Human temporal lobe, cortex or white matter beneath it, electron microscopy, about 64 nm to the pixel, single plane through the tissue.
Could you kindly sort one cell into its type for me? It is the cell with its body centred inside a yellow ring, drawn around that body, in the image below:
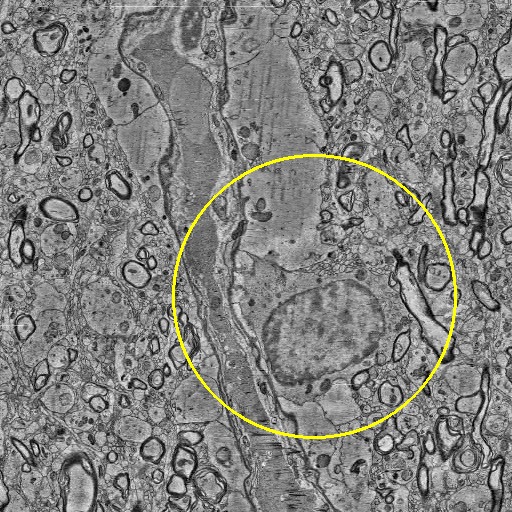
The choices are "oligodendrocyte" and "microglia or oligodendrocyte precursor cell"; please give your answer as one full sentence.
The cell whose body lies centred in the yellow ring here is an oligodendrocyte.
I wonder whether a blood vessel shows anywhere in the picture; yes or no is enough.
Yes.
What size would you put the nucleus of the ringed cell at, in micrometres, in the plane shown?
The ringed cell's nucleus is about 8 micrometres long and 6 micrometres wide in this plane.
